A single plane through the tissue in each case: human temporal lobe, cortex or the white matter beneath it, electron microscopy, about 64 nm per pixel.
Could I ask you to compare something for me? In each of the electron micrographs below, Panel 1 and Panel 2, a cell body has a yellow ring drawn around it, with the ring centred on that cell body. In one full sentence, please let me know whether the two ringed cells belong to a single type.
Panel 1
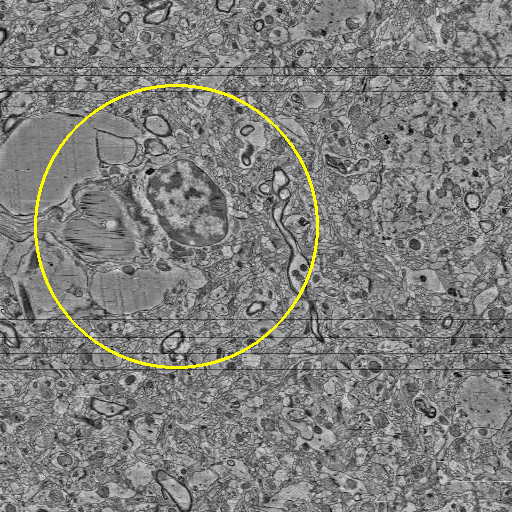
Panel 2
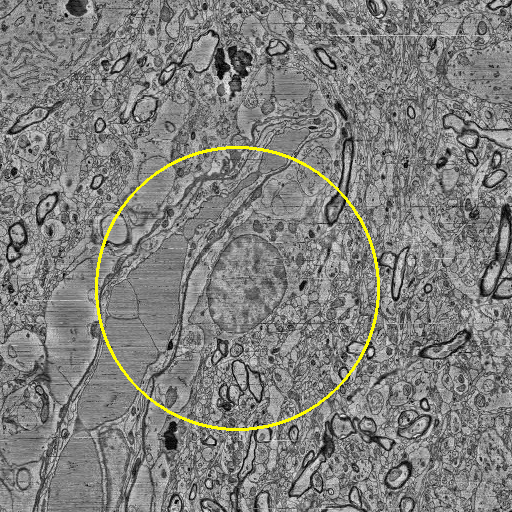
No, the two cells at the centres of the rings are of two types.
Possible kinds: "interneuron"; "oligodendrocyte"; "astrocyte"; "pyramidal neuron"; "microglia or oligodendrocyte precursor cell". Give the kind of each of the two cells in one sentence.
The cell in the second picture is an oligodendrocyte, and that in the first is a microglial cell or oligodendrocyte precursor cell.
